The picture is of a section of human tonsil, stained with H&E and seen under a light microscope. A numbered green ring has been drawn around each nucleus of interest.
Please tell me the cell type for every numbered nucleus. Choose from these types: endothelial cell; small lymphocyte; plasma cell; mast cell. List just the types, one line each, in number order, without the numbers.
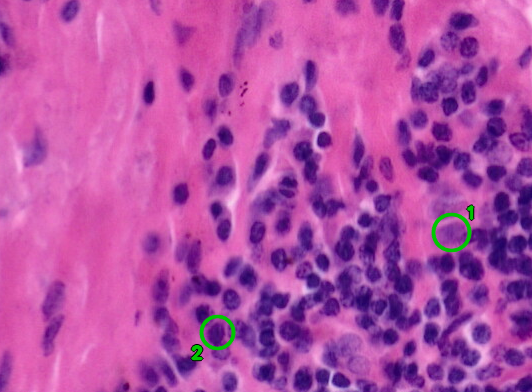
endothelial cell
plasma cell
